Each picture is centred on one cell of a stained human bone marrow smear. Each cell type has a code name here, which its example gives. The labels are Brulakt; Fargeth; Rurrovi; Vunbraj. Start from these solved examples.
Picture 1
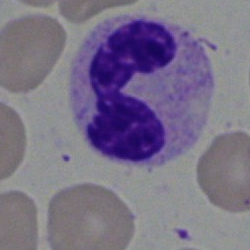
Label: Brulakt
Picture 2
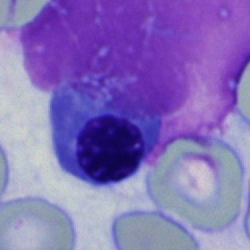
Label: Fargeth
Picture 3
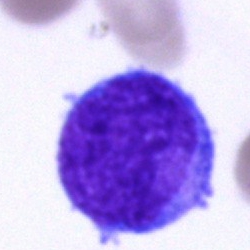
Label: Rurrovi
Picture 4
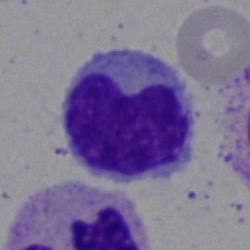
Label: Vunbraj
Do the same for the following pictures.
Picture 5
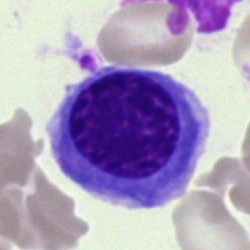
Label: Fargeth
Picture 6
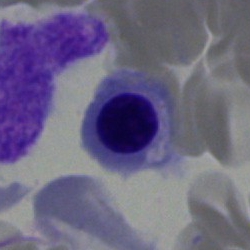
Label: Fargeth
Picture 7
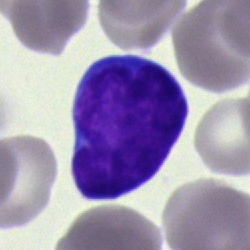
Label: Rurrovi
